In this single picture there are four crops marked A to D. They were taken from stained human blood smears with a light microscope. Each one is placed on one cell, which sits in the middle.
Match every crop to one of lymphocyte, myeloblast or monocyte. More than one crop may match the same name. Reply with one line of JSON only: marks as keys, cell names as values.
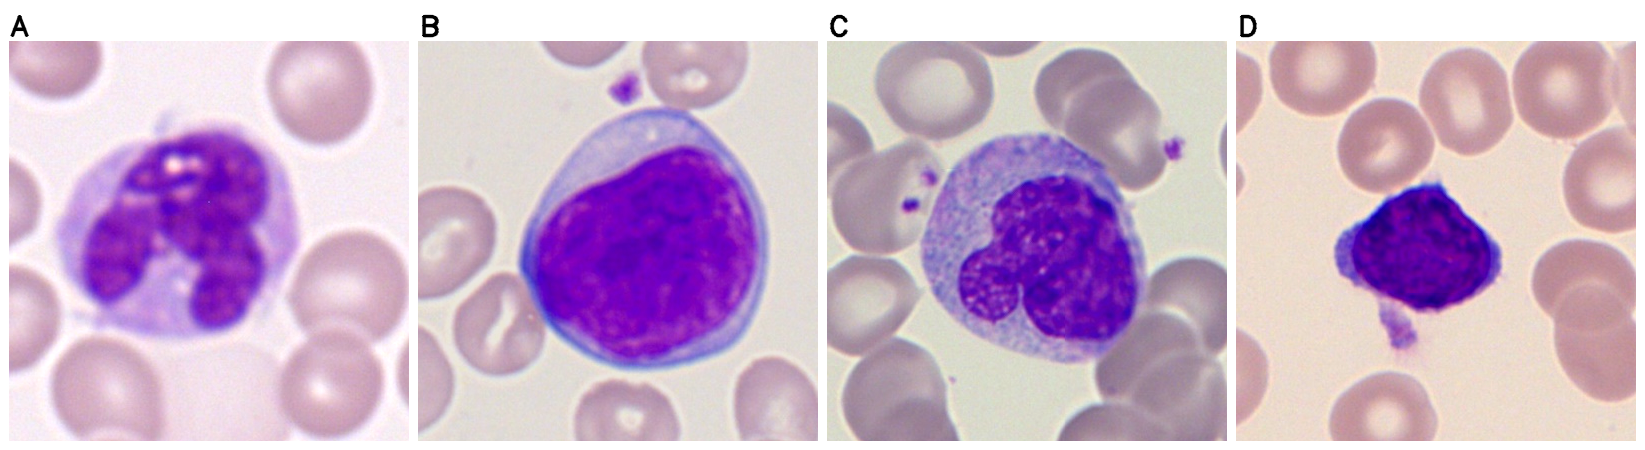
{"A": "monocyte", "B": "myeloblast", "C": "monocyte", "D": "lymphocyte"}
